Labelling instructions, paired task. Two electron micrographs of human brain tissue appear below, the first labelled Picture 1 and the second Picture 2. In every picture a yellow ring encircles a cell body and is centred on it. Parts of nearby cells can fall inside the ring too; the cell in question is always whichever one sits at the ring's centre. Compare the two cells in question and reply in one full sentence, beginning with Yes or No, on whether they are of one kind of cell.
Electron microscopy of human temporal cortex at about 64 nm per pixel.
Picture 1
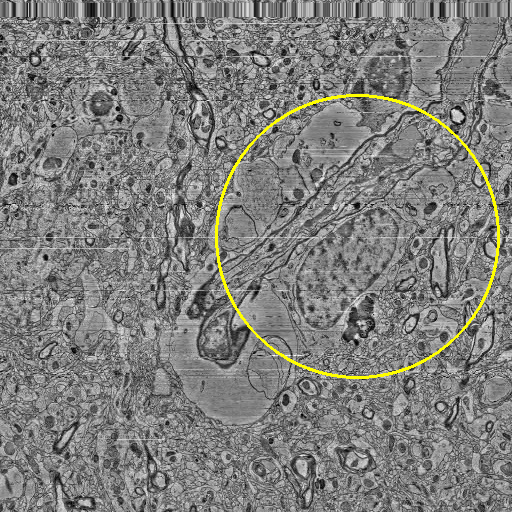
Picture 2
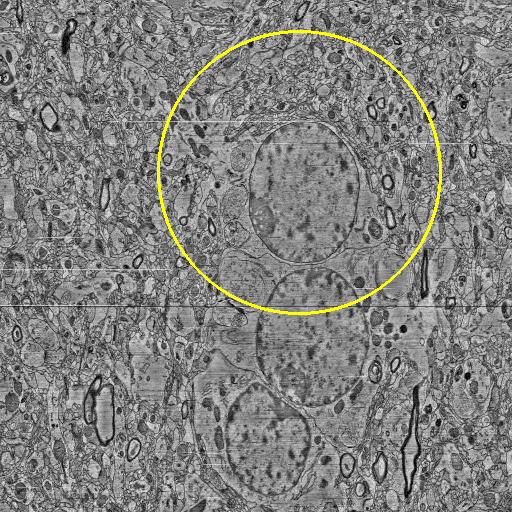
No, the two cells at the ring centres in Picture 1 and Picture 2 are of two kinds.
